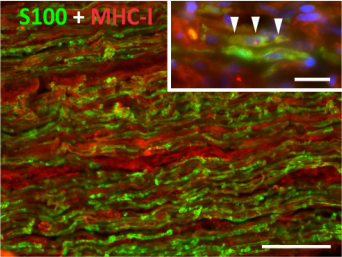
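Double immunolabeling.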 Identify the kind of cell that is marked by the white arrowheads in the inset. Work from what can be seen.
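An elongated green cell lying along the nerve fibres. A blue nucleus sits within the elongated green profile.
Schwann cell.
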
